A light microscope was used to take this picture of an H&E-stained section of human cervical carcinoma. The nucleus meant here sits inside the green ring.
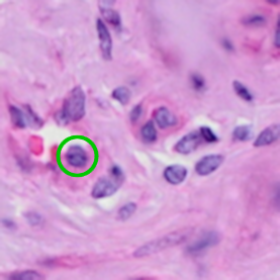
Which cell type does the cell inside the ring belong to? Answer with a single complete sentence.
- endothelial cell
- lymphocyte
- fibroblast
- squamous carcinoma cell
For cell typing purposes, the cell inside the ring is an endothelial cell.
